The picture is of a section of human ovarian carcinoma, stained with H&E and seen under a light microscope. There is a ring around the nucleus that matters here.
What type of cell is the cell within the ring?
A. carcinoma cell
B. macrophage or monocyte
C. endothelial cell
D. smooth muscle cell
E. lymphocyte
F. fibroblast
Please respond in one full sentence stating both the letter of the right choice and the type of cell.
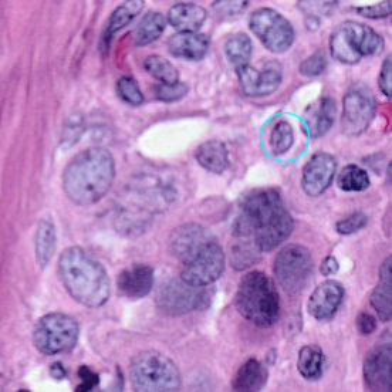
Option B is correct here; the cell within the ring is a macrophage or monocyte.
